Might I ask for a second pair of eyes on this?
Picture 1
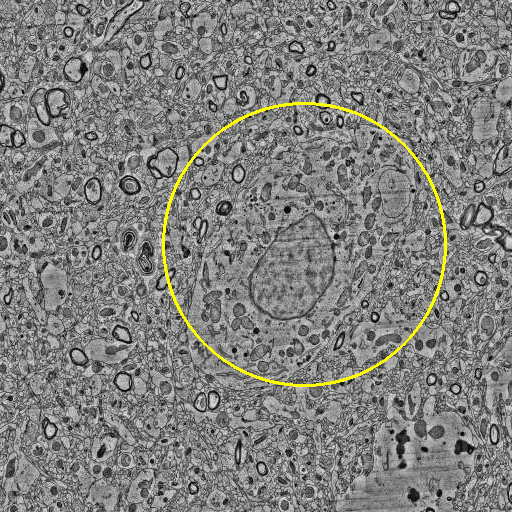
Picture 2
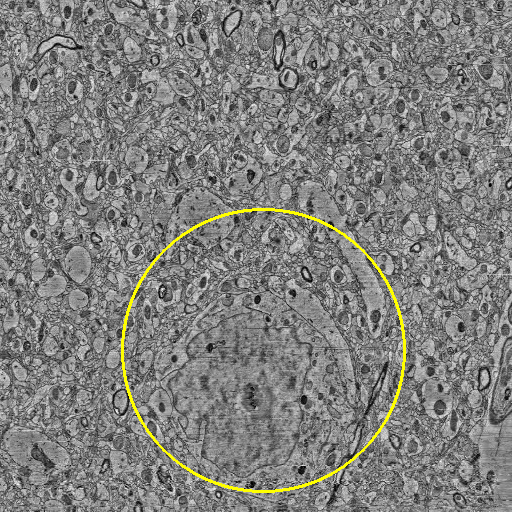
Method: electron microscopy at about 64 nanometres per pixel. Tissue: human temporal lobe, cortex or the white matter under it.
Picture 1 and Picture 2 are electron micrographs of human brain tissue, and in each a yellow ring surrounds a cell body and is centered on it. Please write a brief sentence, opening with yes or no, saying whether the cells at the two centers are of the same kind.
Yes, the cells are of the same kind.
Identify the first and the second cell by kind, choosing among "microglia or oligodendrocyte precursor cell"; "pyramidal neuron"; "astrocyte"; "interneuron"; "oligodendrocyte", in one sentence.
Each cell at the centre of a ring is an interneuron.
